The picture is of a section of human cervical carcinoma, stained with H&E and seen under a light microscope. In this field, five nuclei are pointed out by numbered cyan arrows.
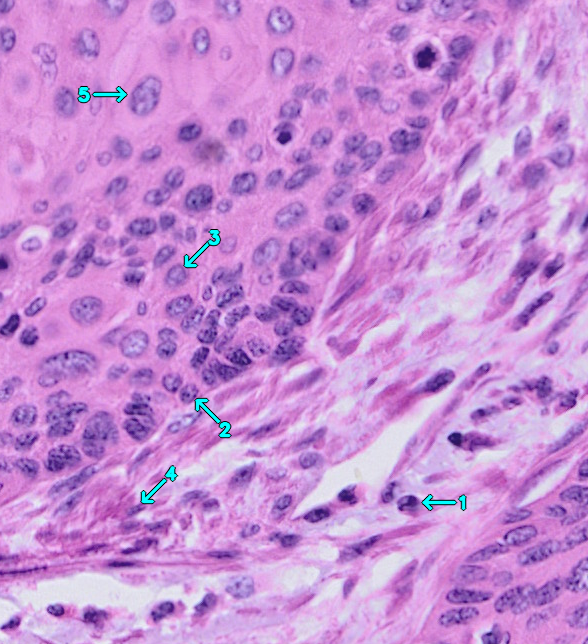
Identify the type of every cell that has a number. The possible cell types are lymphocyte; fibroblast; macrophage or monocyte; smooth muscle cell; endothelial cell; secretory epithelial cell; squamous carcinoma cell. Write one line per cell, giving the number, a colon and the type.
1: lymphocyte
2: squamous carcinoma cell
3: squamous carcinoma cell
4: fibroblast
5: squamous carcinoma cell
